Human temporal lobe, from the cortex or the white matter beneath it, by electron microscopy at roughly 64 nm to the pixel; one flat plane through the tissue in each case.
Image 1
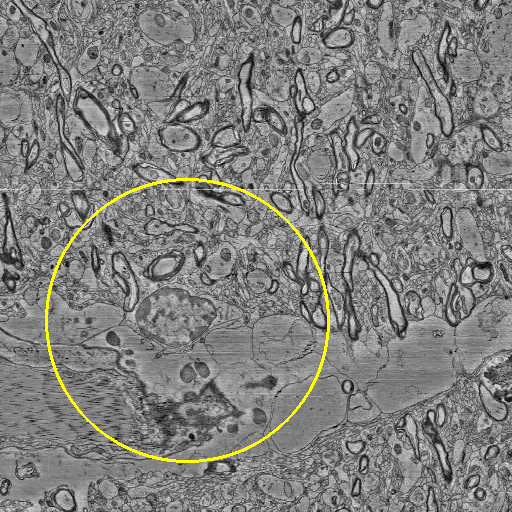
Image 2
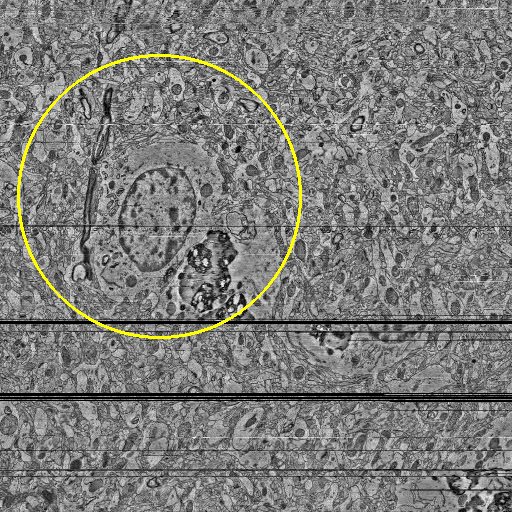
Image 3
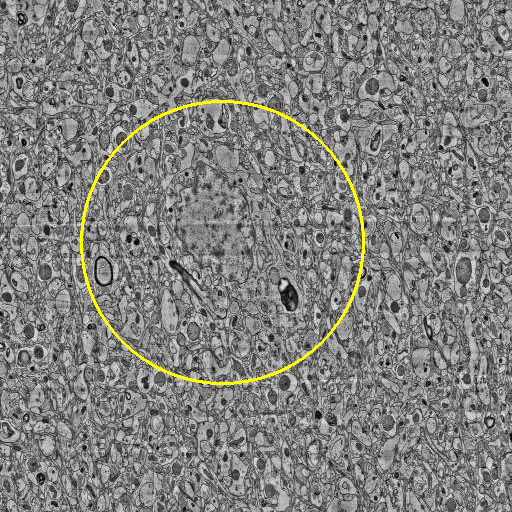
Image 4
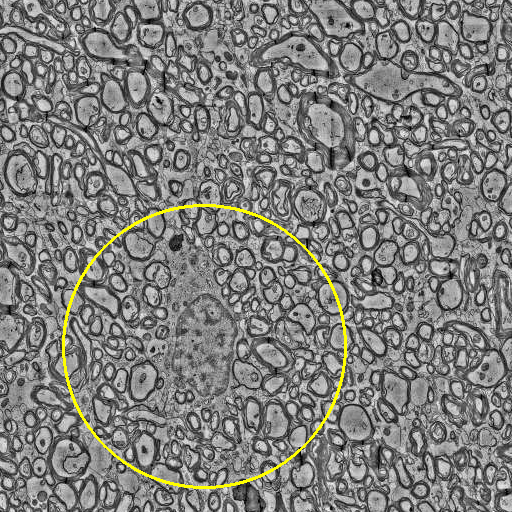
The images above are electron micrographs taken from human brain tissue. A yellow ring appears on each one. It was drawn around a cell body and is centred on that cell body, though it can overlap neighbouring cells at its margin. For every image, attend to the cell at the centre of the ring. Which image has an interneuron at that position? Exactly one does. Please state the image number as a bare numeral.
3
